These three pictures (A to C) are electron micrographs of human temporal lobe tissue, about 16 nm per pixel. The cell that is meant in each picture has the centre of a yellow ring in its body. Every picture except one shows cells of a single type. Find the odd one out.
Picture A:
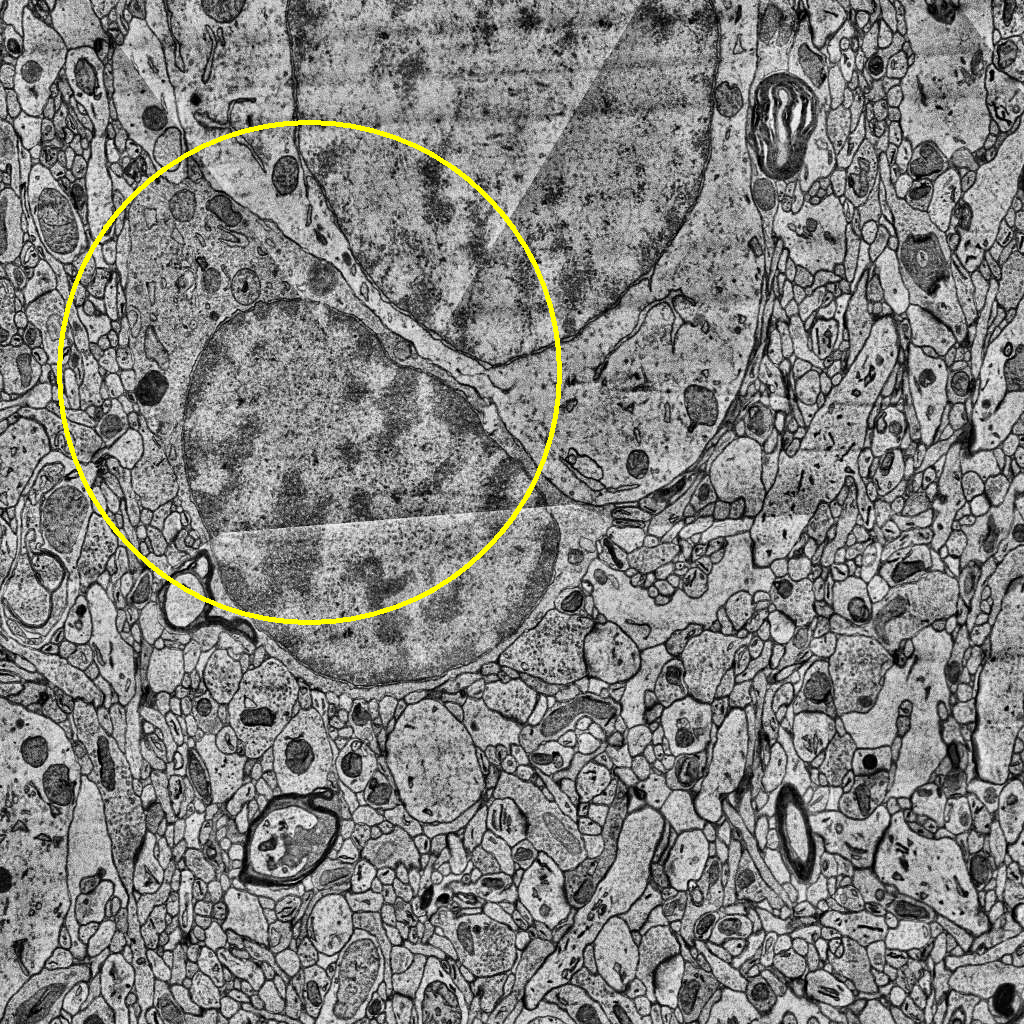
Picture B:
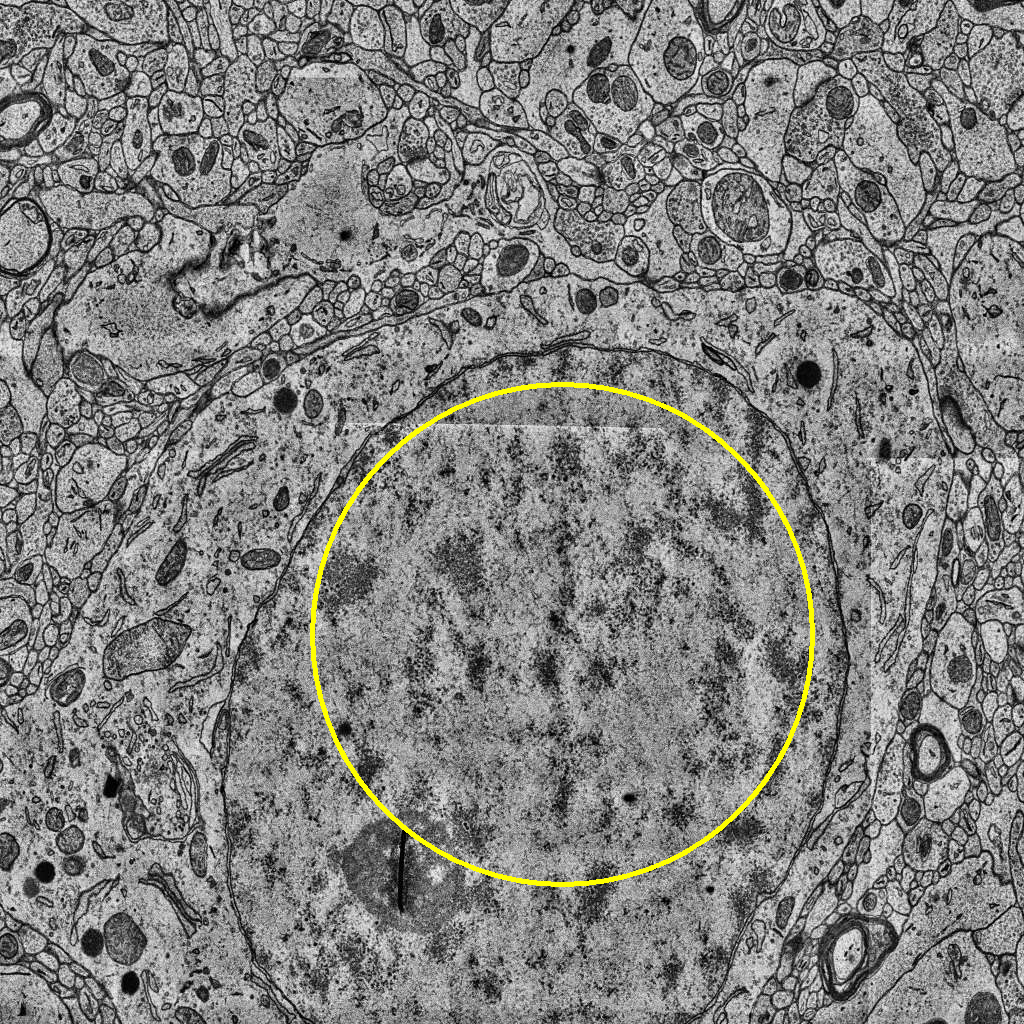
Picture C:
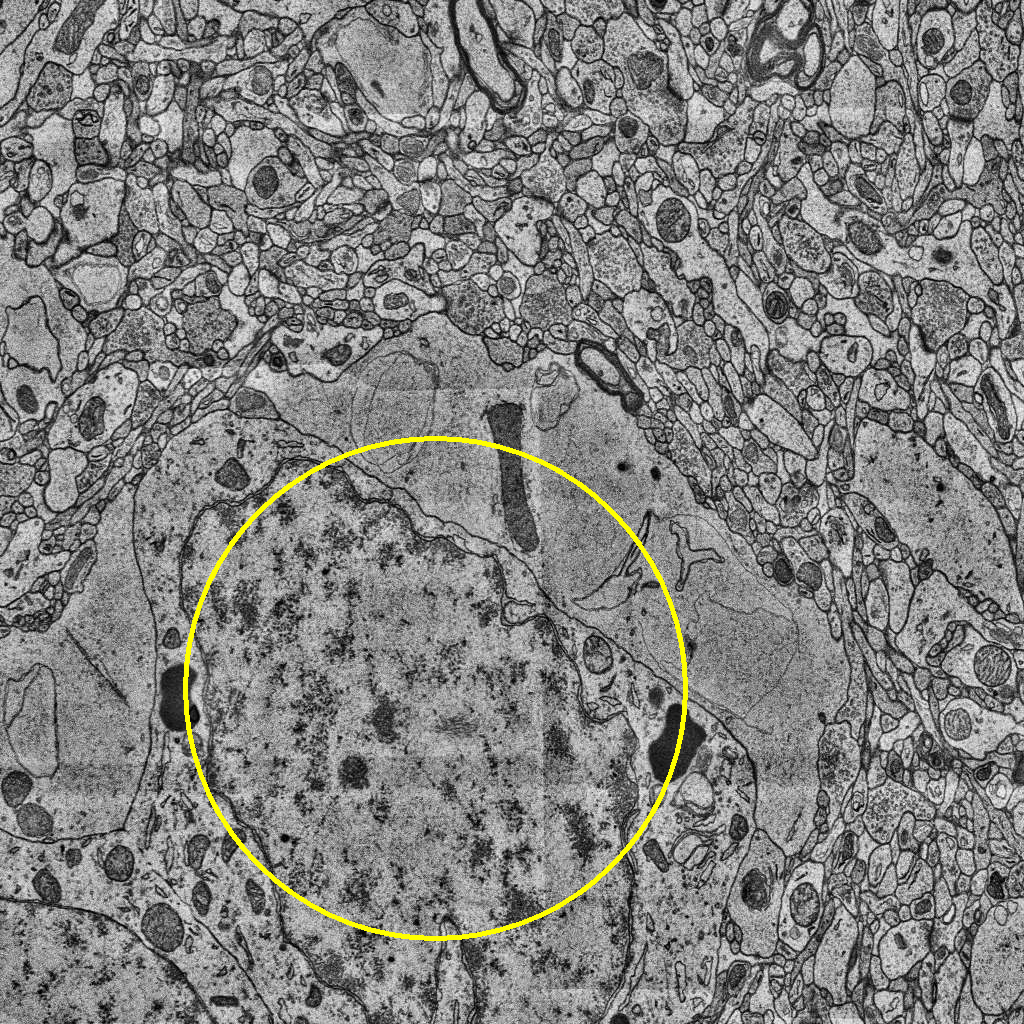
All pictures except A show interneurons; picture A shows an oligodendrocyte.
